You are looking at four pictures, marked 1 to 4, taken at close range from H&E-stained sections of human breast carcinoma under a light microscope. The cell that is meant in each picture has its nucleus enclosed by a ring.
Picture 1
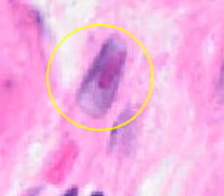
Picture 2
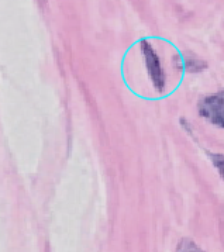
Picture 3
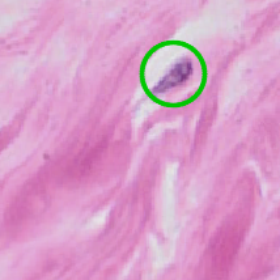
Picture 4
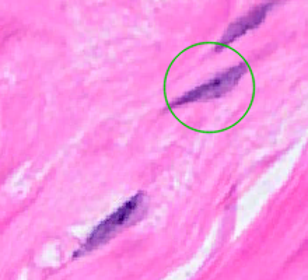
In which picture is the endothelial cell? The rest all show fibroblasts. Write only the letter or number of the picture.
1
